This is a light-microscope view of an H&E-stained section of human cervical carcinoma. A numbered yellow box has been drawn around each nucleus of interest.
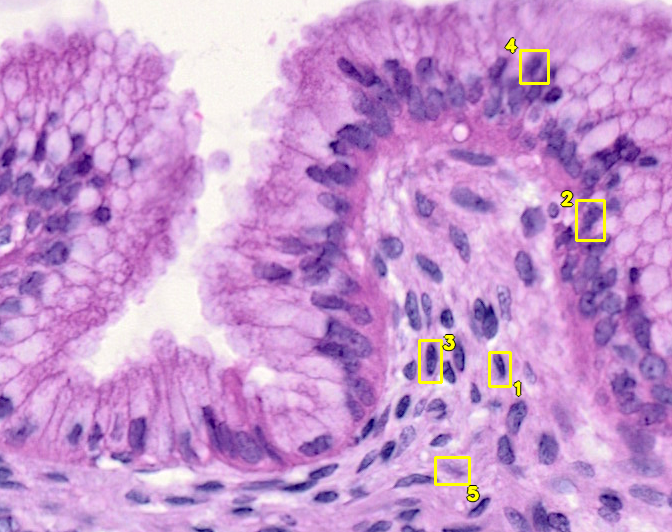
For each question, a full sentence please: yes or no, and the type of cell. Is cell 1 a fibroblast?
Yes, the cell that bears number 1 is a fibroblast.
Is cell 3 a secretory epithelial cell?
No, at number 3 sits a fibroblast, not a secretory epithelial cell.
